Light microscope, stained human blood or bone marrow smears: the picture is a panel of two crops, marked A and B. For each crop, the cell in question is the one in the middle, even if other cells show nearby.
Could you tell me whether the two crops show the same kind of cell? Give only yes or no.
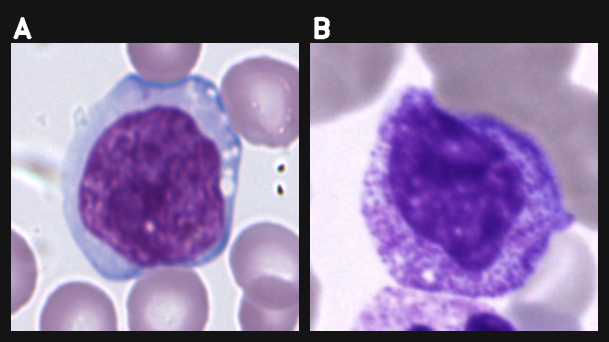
no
